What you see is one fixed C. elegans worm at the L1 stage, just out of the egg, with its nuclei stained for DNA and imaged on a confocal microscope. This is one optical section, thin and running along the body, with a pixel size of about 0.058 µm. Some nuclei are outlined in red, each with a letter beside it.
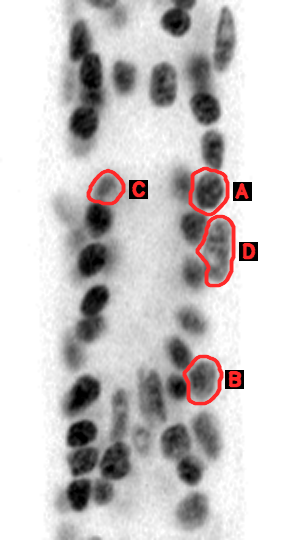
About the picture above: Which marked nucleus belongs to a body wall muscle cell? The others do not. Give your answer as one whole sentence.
Of the marked nuclei, B is the one in a body wall muscle cell.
